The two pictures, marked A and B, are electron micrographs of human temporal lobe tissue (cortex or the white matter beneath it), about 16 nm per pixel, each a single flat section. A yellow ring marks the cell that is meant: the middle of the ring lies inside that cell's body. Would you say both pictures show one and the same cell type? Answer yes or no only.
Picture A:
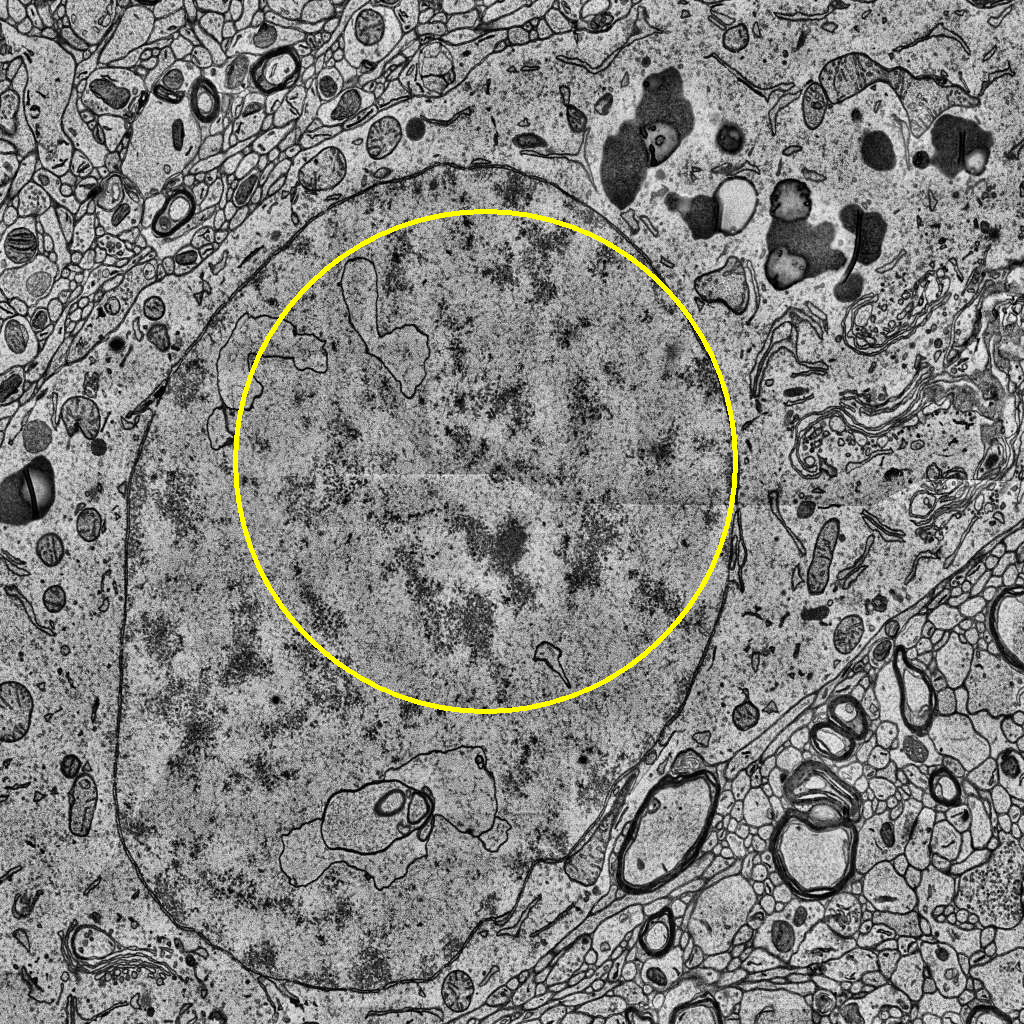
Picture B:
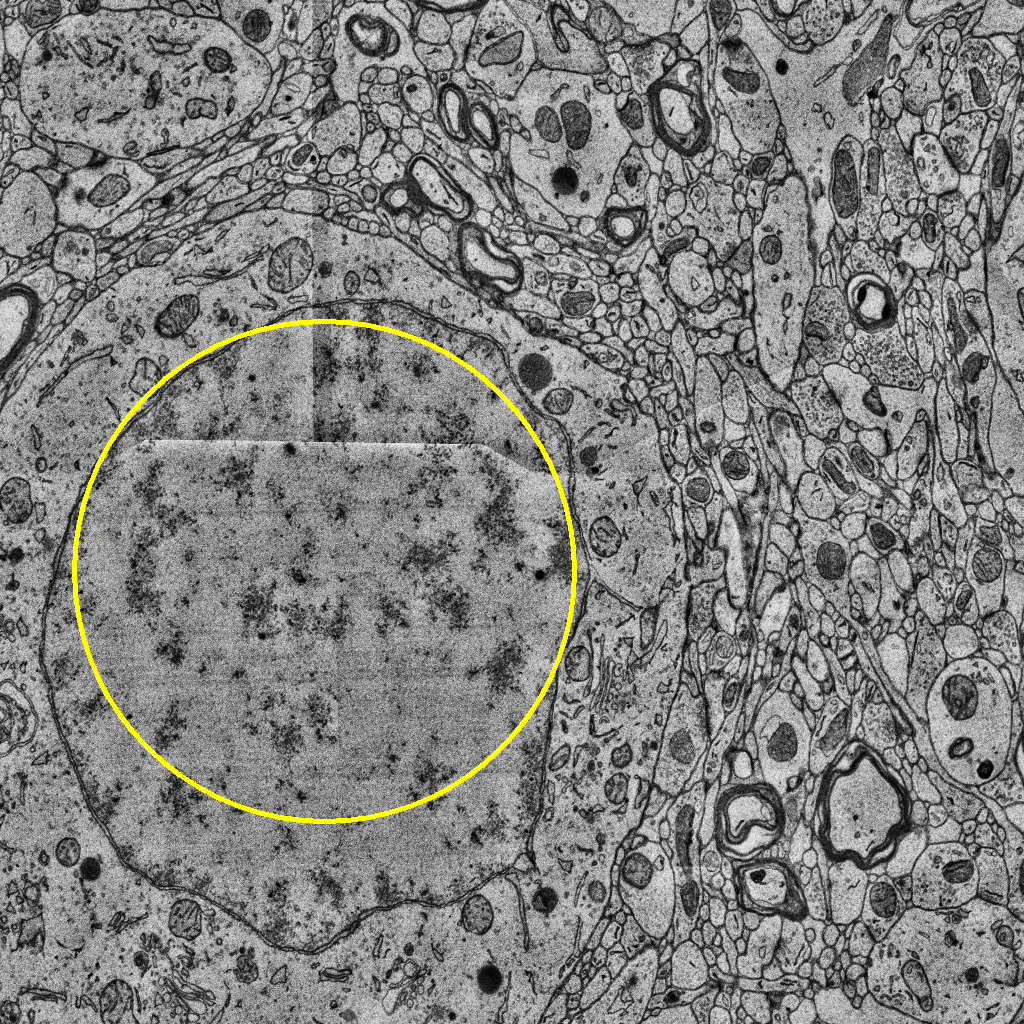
yes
